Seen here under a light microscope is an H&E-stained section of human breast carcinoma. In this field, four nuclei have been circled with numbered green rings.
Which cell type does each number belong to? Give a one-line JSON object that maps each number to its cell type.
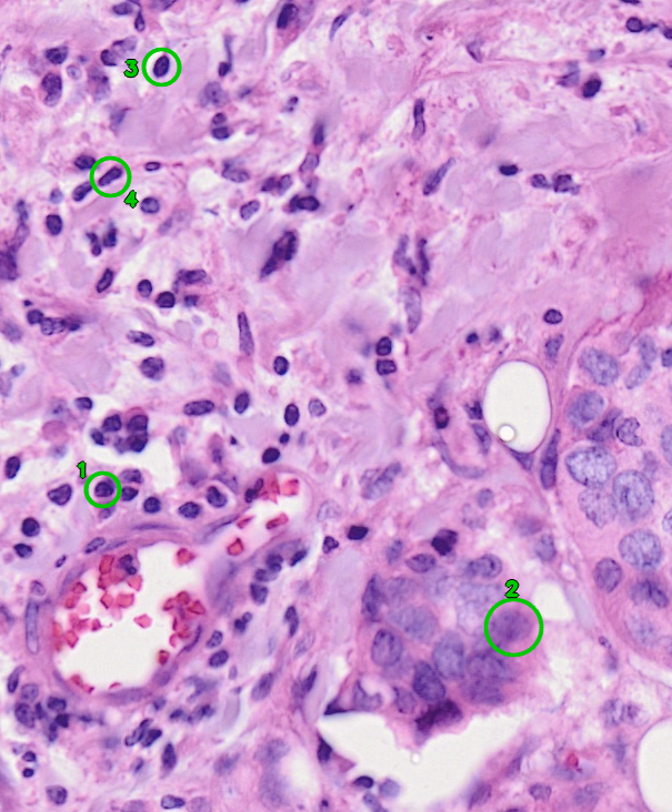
{"1": "lymphocyte", "2": "carcinoma cell", "3": "lymphocyte", "4": "lymphocyte"}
